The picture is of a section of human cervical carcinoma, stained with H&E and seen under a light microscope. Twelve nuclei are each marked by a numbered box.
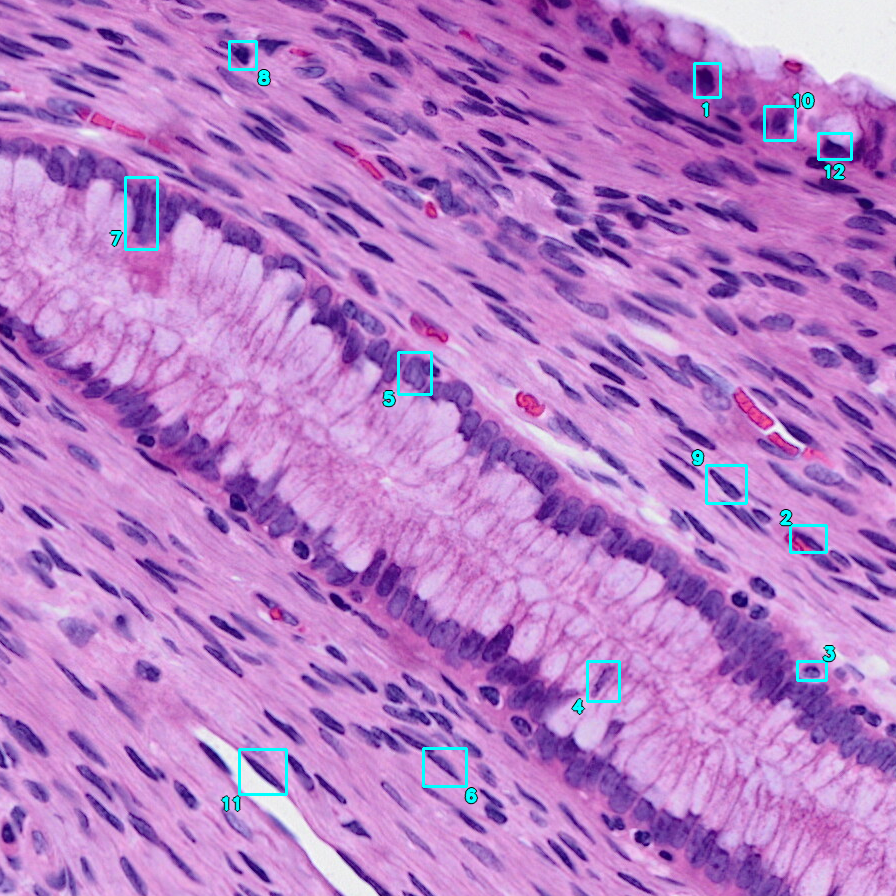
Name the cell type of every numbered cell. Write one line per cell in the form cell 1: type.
cell 1: secretory epithelial cell
cell 2: endothelial cell
cell 3: secretory epithelial cell
cell 4: secretory epithelial cell
cell 5: secretory epithelial cell
cell 6: fibroblast
cell 7: secretory epithelial cell
cell 8: lymphocyte
cell 9: fibroblast
cell 10: secretory epithelial cell
cell 11: endothelial cell
cell 12: secretory epithelial cell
